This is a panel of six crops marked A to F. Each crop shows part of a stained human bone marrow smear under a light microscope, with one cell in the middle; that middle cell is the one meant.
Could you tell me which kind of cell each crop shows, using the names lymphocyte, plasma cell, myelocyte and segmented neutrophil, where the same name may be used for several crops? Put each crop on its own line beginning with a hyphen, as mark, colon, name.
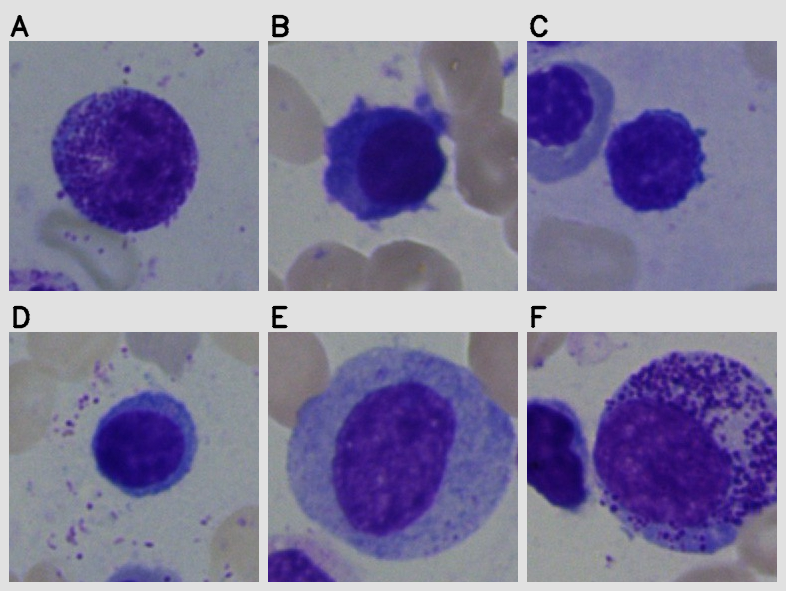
- A: myelocyte
- B: plasma cell
- C: lymphocyte
- D: lymphocyte
- E: myelocyte
- F: myelocyte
